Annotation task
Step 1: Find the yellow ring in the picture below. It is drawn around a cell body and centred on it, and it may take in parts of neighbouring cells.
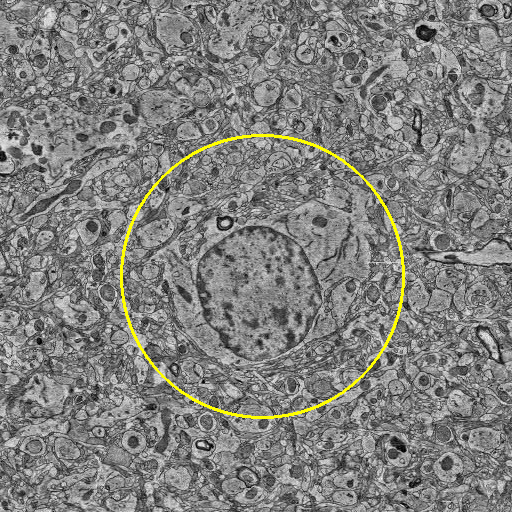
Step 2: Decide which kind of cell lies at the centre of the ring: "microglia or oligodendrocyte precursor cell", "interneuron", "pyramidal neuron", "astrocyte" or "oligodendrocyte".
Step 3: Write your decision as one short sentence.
The kind of cell at the ring's centre is an astrocyte.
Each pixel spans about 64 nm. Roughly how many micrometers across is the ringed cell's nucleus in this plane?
About 8 micrometres across in this plane.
